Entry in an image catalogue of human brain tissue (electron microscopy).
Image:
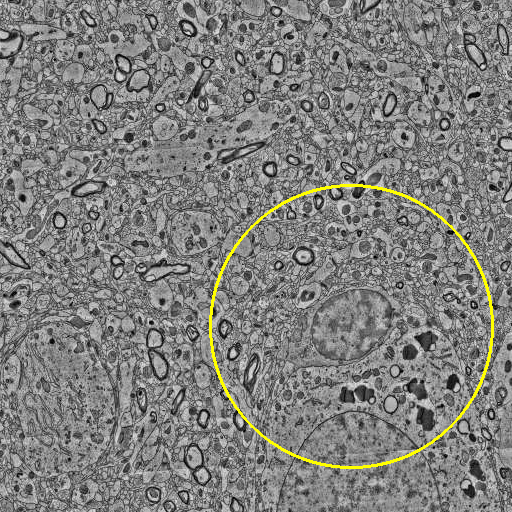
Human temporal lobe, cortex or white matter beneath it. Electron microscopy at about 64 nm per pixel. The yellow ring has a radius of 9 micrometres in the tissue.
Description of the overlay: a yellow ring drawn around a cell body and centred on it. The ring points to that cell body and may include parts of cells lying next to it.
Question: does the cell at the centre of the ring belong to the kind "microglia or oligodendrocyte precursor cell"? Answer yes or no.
no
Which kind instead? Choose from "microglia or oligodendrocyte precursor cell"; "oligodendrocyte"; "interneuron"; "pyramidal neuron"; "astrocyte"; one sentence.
The cell ringed in the picture is an oligodendrocyte.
